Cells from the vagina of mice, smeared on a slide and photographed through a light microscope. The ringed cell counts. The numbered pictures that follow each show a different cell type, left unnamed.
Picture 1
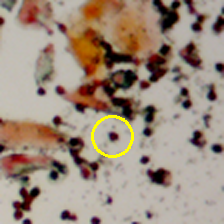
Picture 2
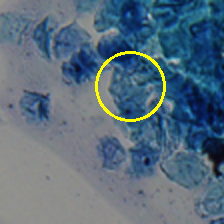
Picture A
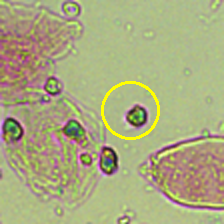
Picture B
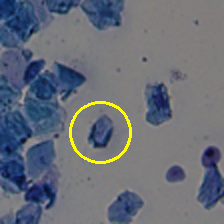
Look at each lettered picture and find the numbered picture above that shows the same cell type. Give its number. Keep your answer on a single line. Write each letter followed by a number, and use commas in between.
A 1, B 2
